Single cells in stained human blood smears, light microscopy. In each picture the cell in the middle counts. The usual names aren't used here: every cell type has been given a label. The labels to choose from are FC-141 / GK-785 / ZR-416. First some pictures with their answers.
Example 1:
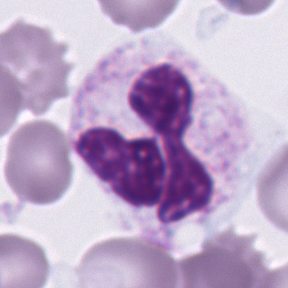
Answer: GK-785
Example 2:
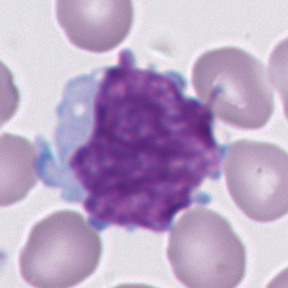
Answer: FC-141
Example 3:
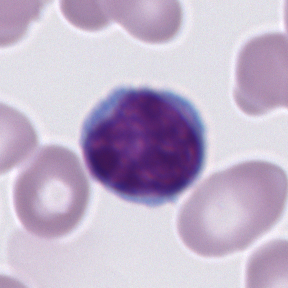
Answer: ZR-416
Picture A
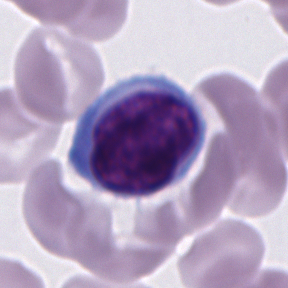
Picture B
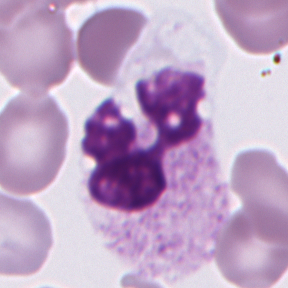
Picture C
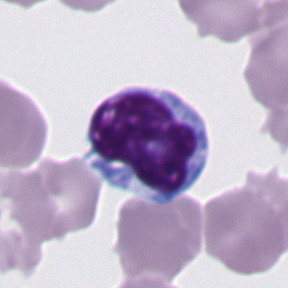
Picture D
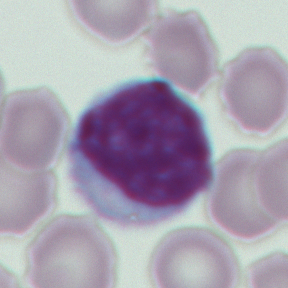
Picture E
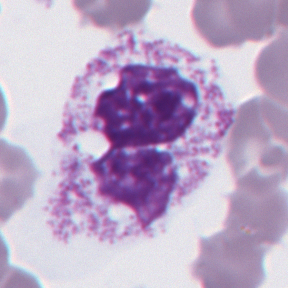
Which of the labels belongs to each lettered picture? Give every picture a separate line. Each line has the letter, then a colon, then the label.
A: ZR-416
B: GK-785
C: ZR-416
D: ZR-416
E: GK-785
